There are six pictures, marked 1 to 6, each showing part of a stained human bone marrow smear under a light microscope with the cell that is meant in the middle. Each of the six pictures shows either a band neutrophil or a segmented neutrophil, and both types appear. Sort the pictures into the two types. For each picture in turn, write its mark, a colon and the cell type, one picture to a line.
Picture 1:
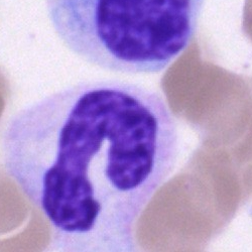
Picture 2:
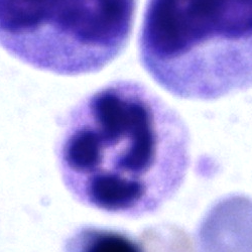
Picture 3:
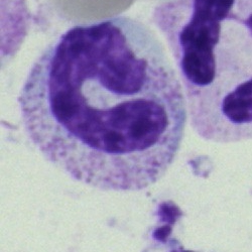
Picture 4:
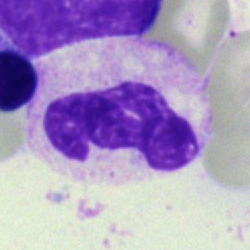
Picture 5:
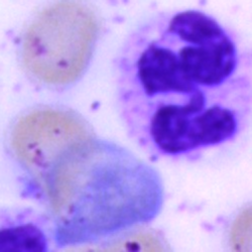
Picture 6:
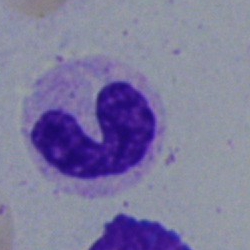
1: band neutrophil
2: segmented neutrophil
3: band neutrophil
4: segmented neutrophil
5: segmented neutrophil
6: band neutrophil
